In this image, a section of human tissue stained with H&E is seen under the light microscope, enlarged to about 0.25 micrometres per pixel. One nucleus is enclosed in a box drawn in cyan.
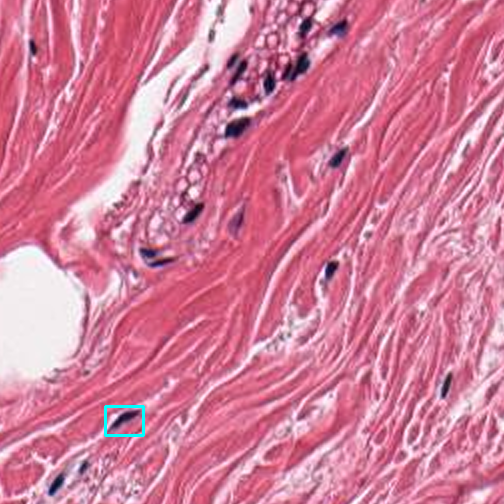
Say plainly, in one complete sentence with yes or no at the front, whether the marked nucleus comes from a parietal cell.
No, the marked nucleus is held by a supporting cell and not by a parietal cell.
